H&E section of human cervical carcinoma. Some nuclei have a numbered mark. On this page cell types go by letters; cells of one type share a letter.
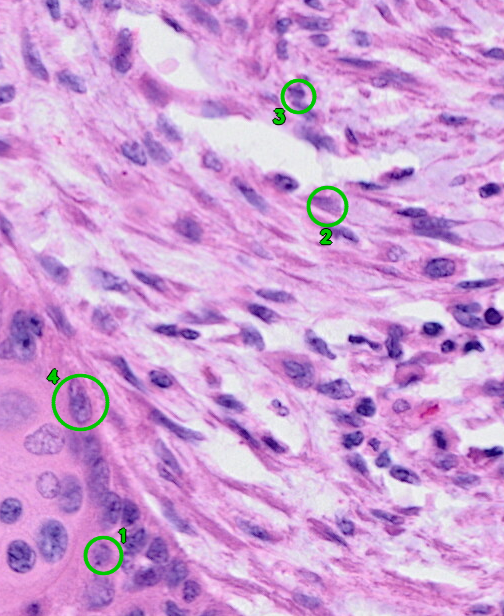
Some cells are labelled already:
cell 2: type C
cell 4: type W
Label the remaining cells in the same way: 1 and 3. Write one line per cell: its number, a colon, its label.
1: type W
3: type C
